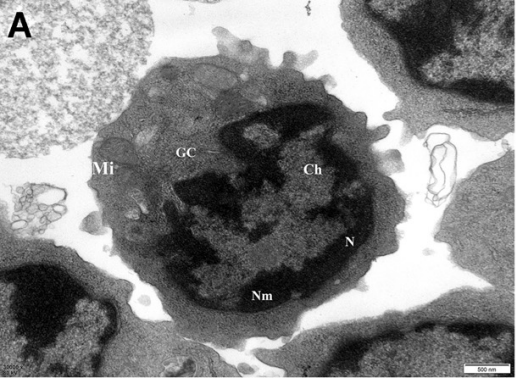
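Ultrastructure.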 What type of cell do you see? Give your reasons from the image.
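Lymphocytes. Coarse dark heterochromatin clumps in the nucleus.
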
